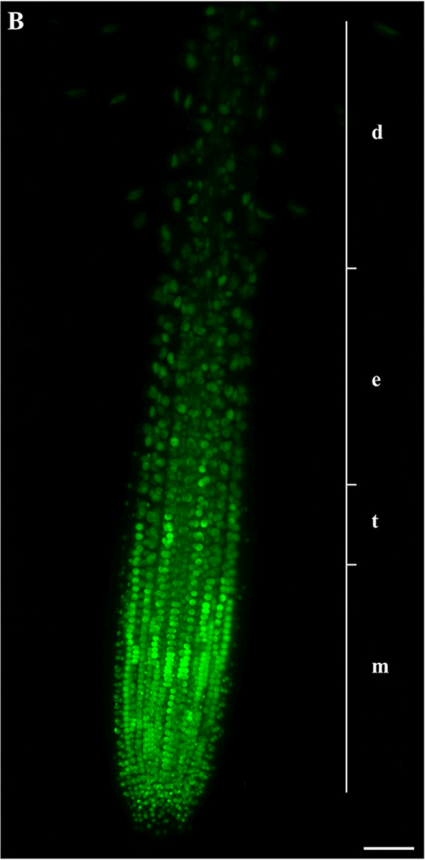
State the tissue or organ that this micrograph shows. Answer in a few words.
root tip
